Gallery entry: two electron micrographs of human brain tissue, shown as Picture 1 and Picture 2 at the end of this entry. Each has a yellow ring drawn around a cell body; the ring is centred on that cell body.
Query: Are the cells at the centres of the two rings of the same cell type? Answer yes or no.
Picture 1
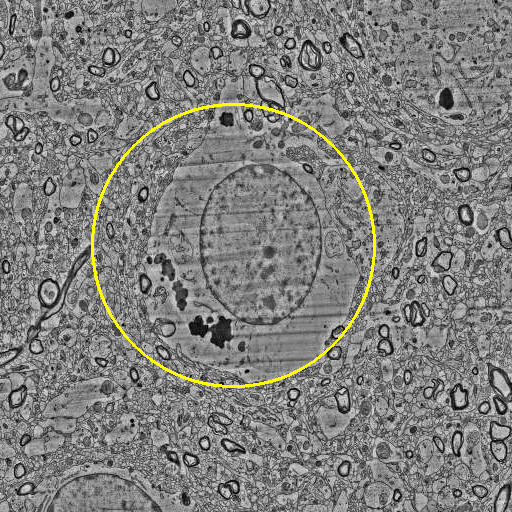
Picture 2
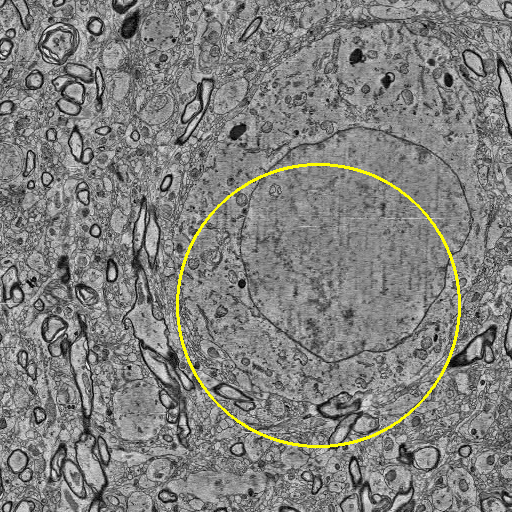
no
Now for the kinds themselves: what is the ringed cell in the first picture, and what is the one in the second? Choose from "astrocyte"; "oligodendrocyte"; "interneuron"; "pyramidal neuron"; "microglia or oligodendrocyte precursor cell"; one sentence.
Here the first cell is an astrocyte and the second cell is a pyramidal neuron.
